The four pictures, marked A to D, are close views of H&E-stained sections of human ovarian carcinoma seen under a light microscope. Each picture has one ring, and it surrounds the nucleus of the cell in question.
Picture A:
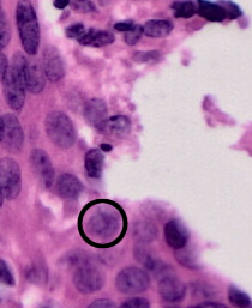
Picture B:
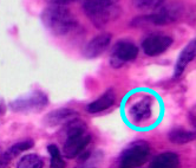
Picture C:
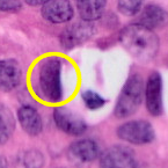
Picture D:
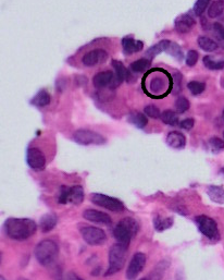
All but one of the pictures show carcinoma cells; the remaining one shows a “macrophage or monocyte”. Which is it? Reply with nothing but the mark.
B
